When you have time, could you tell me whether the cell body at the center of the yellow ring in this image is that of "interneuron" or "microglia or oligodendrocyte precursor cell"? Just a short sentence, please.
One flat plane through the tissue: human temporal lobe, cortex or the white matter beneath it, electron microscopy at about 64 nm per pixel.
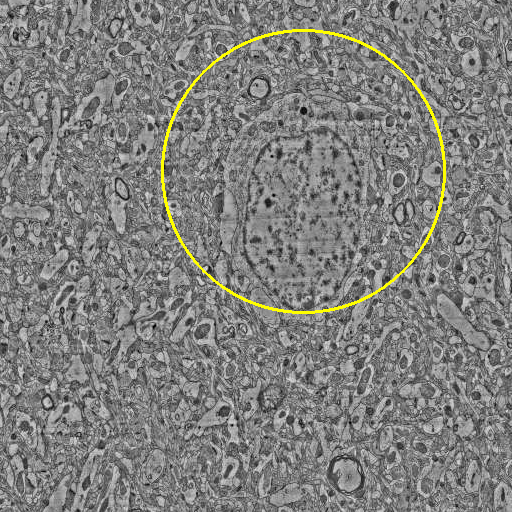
The cell body at the center of the ring is that of an interneuron.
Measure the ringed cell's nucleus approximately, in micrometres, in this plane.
Approximately 12 by 8 micrometers in this plane.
